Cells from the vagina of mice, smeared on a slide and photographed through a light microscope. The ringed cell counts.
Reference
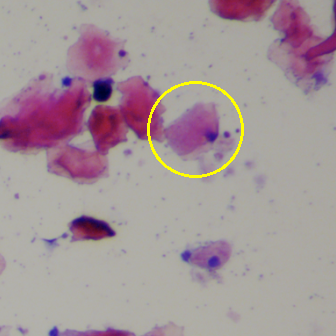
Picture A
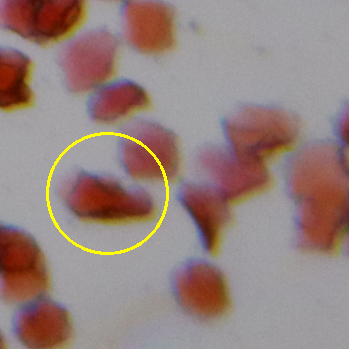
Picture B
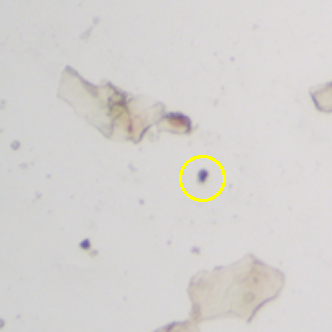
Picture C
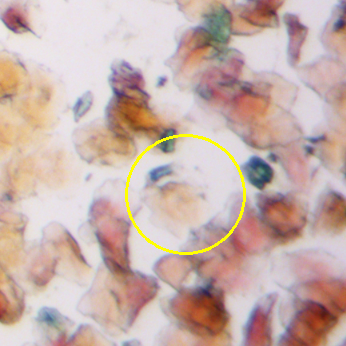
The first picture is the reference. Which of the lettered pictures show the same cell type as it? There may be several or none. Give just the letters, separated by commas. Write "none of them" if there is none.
A, C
